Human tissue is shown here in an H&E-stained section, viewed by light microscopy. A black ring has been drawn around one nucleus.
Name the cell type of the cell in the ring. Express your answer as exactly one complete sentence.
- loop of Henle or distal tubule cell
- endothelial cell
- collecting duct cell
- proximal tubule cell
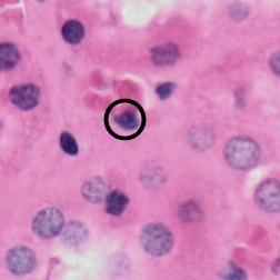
It is as an endothelial cell that the cell in the ring is recorded.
